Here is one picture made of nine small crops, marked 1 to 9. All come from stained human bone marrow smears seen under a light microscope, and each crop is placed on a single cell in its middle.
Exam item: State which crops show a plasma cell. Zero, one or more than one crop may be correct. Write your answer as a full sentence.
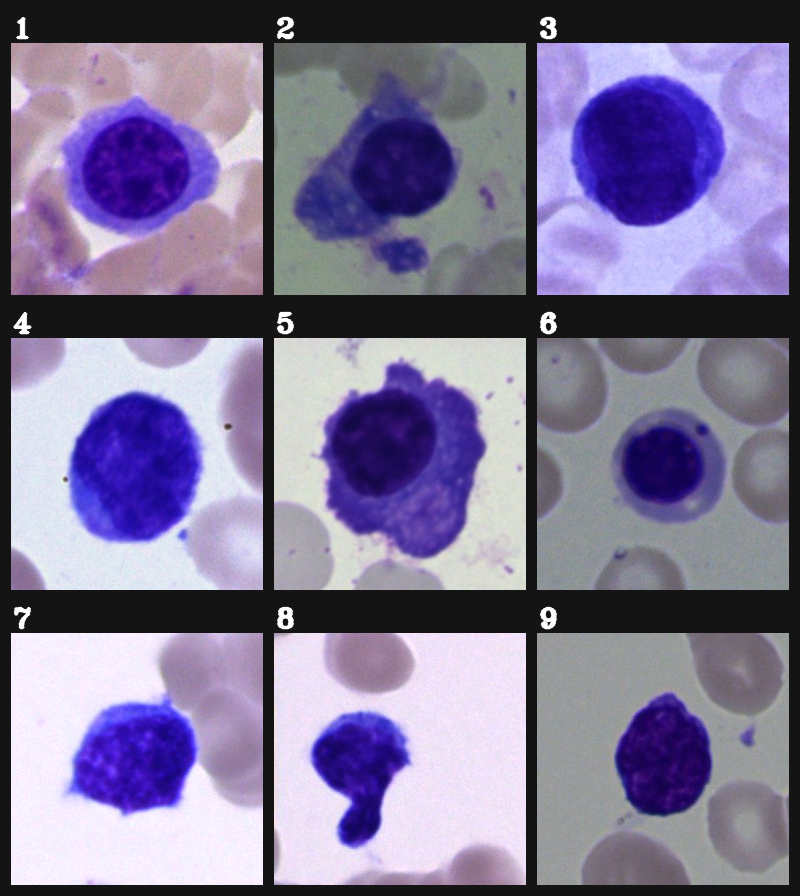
Crops 2 and 5 show plasma cells as their middle cells.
